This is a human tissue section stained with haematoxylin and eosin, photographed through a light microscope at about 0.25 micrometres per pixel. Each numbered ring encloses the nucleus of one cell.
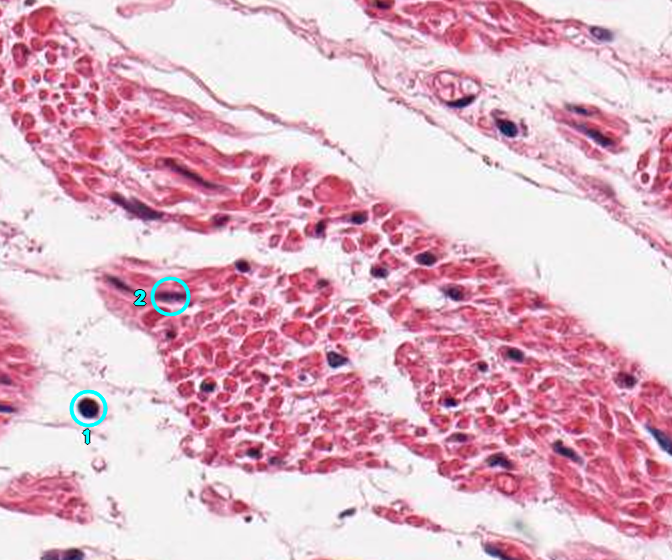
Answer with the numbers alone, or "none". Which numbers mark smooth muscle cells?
2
